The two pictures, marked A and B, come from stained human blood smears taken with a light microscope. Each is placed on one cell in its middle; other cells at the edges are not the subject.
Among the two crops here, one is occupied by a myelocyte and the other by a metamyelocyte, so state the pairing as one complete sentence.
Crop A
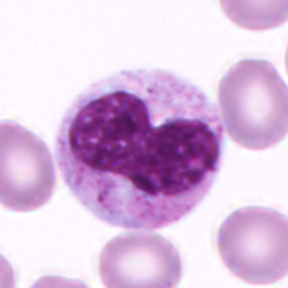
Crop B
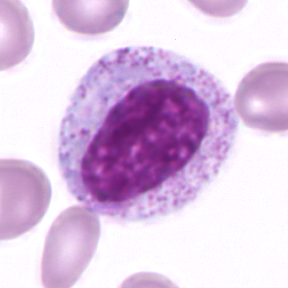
Okay, so crop A is a metamyelocyte and crop B is a myelocyte.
